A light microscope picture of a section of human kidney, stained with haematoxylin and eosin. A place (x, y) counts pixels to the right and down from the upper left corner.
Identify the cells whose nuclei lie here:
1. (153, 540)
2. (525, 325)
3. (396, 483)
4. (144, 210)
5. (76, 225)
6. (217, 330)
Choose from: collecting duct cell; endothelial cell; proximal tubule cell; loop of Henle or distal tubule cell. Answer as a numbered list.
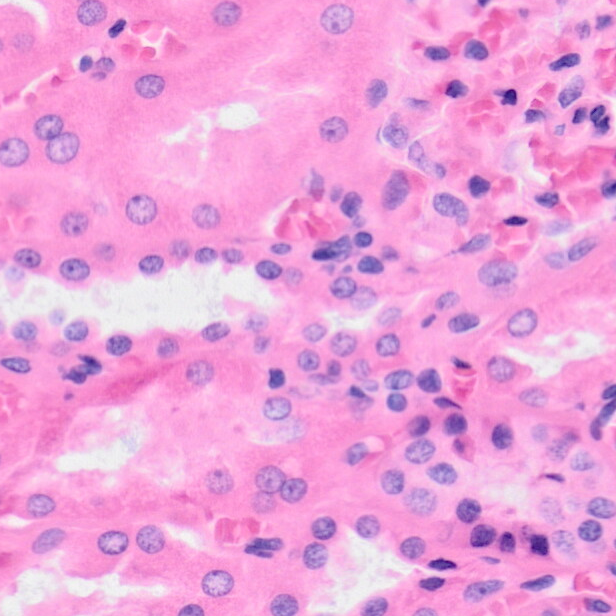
1. proximal tubule cell
2. proximal tubule cell
3. collecting duct cell
4. proximal tubule cell
5. proximal tubule cell
6. loop of Henle or distal tubule cell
